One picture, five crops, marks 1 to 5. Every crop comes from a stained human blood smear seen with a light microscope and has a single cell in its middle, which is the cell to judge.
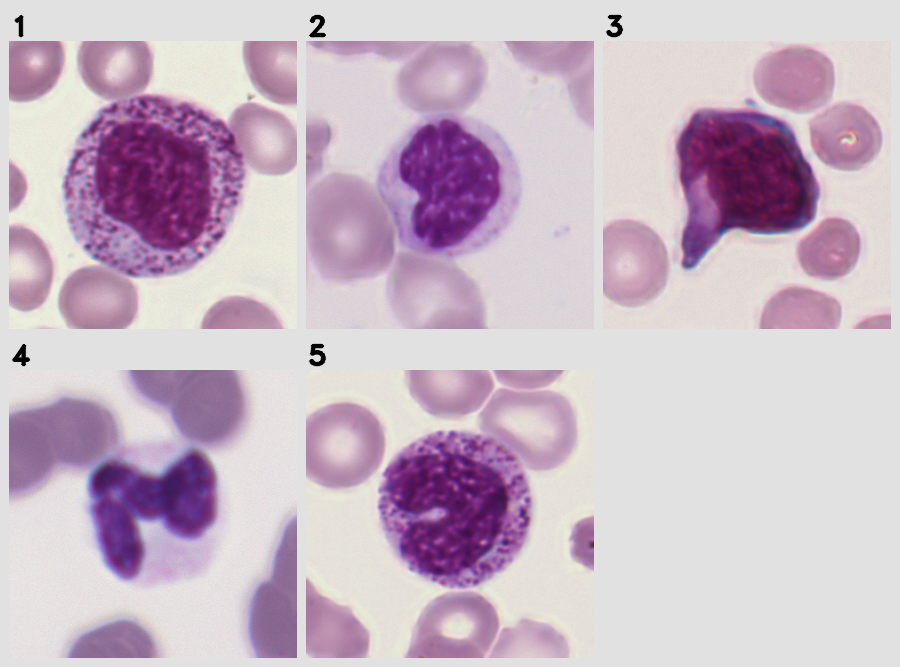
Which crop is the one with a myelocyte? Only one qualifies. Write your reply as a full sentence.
The crop bearing a myelocyte is crop 1.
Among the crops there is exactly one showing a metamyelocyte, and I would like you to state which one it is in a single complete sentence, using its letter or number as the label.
Identified crop: 2, the one that shows a metamyelocyte.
